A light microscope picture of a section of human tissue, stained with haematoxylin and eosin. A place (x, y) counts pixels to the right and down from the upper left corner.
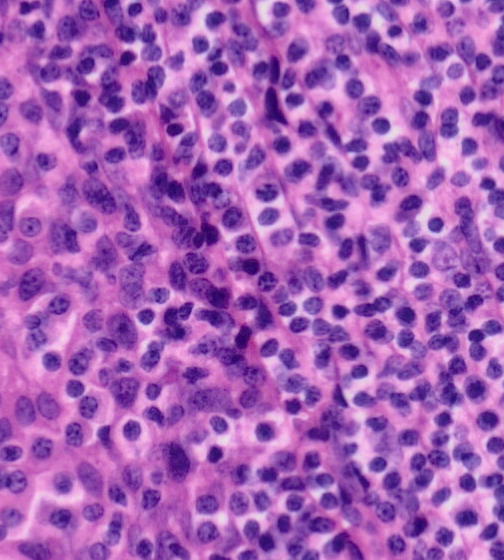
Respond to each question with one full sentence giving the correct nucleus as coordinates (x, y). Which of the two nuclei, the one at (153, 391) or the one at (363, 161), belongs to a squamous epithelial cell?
The nucleus that belongs to a squamous epithelial cell is located at (153, 391).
